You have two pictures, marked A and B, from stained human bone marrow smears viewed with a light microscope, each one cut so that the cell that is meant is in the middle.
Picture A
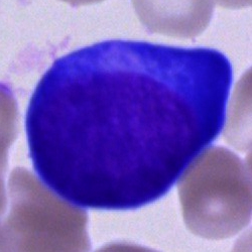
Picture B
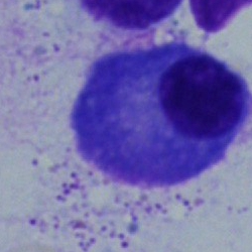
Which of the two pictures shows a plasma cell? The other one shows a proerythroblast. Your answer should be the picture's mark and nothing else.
B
